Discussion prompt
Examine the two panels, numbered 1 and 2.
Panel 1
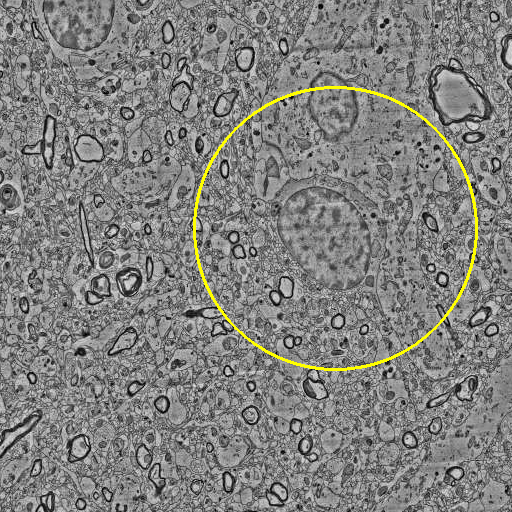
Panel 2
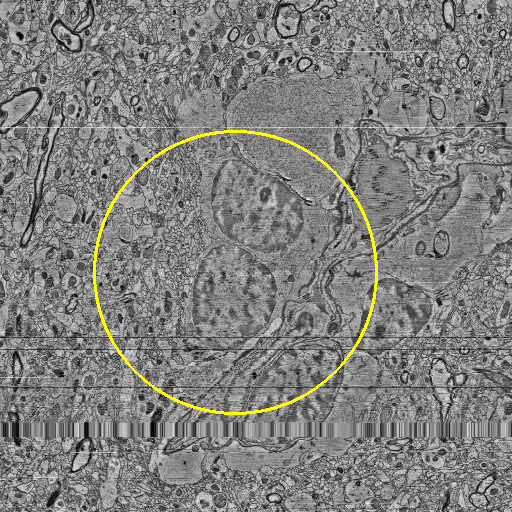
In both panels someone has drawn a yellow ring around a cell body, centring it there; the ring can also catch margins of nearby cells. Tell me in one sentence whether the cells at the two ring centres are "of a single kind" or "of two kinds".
Taken together, the two cells centred in the rings of Panels 1 and 2 are of a single kind.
